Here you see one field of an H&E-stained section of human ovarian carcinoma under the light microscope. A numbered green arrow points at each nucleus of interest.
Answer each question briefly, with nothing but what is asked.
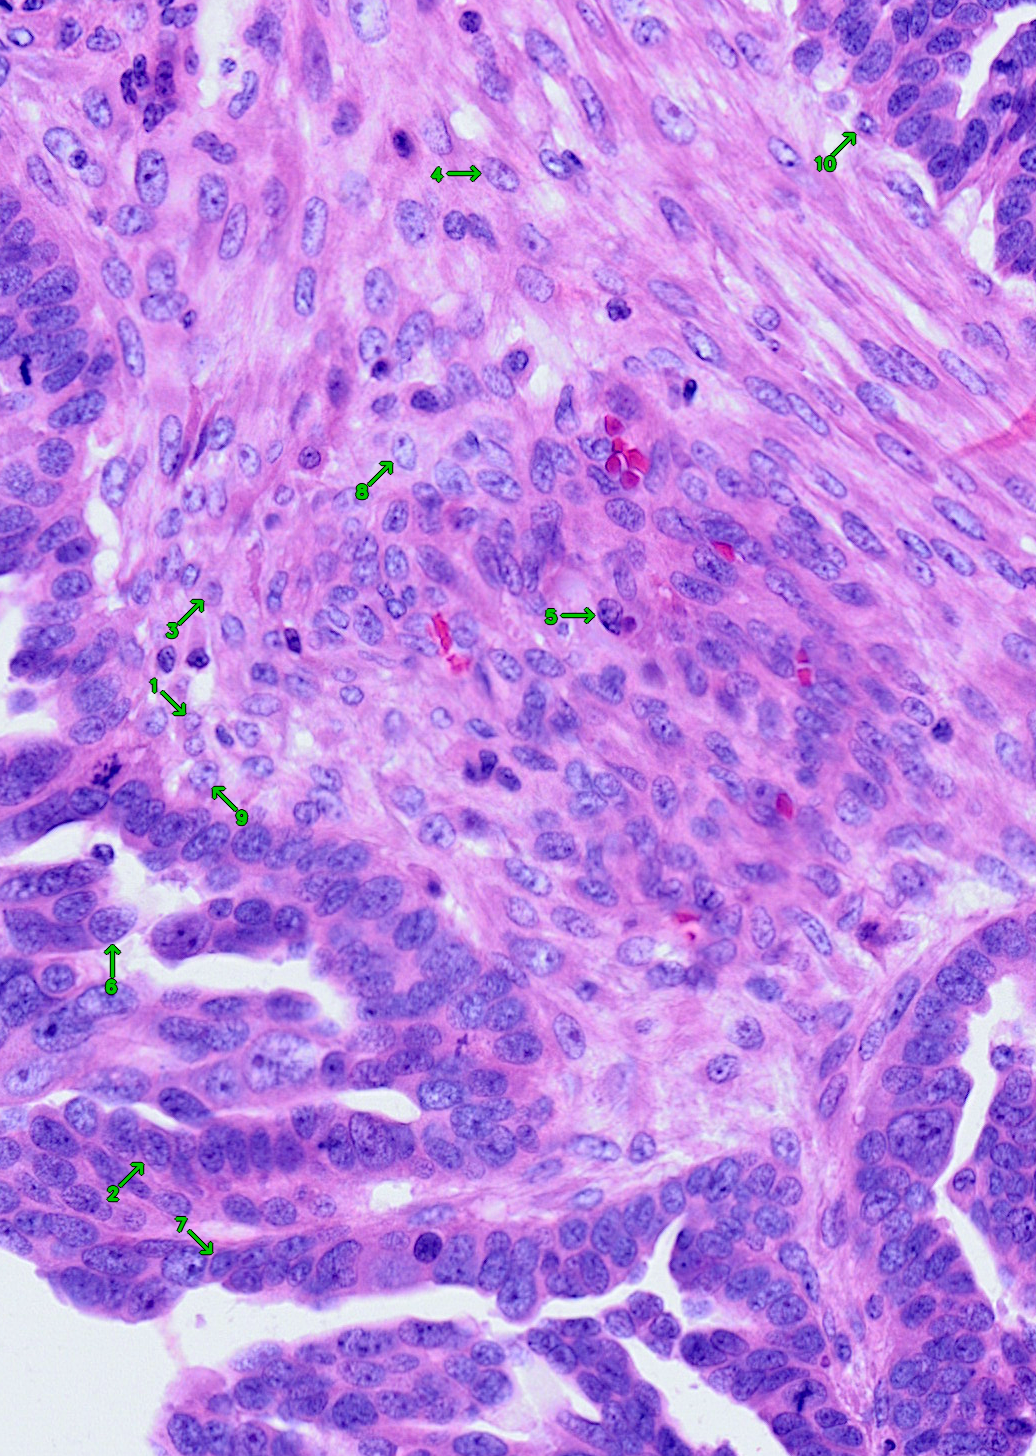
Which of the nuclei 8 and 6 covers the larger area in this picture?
6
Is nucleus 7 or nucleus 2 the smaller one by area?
7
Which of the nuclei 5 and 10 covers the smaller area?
10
